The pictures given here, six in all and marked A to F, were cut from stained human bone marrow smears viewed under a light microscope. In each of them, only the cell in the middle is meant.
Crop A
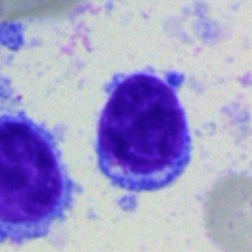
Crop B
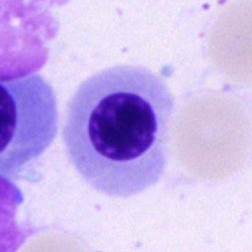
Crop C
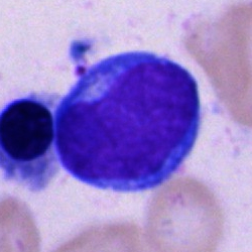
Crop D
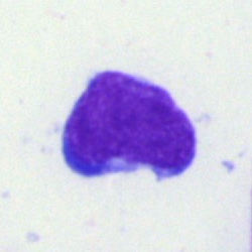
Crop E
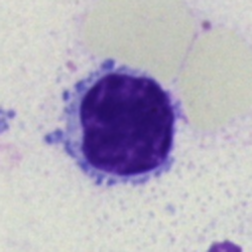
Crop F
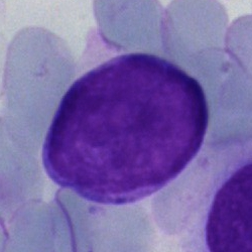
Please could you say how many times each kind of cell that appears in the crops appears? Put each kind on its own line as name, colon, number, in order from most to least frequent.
blast: 3
lymphocyte: 2
erythroblast: 1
